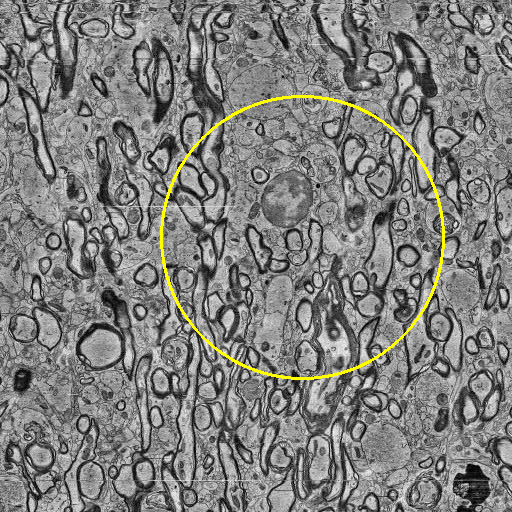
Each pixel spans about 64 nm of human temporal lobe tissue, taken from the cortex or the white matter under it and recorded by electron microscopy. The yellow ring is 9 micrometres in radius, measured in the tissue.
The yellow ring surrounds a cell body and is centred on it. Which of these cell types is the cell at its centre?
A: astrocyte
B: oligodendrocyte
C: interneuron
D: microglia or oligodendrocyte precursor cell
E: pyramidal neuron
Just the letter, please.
D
